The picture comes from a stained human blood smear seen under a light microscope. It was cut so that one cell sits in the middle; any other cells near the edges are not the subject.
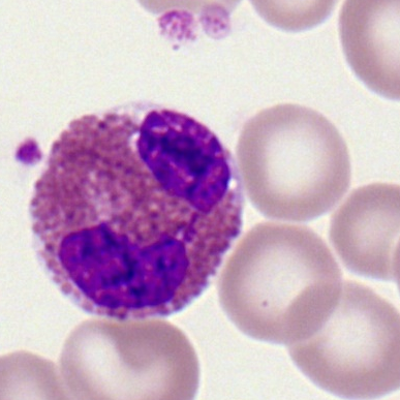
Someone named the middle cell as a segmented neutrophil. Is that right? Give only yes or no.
no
